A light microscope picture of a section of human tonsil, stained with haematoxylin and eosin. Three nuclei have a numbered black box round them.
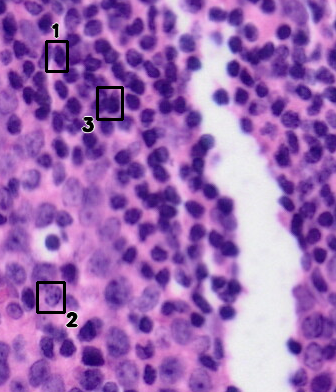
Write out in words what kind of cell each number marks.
Cell 1 is a small lymphocyte, cell 2 is a proliferating B cell and cell 3 is a small lymphocyte.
